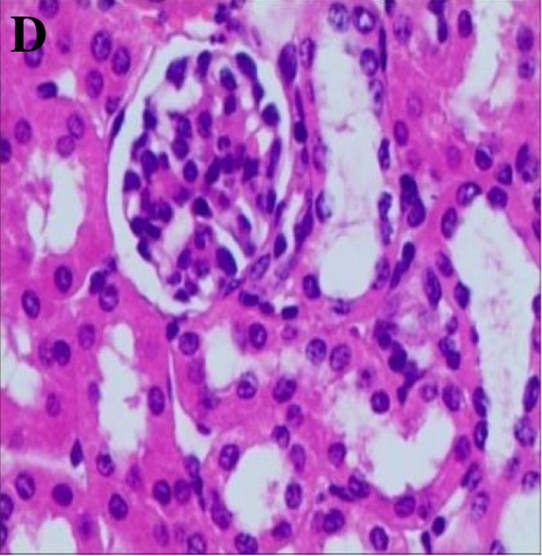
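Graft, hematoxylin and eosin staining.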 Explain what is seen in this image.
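Kidney tissue with a glomerulus at the upper left and tubules around it. The glomerular tuft is a rounded cluster of dark purple nuclei with pale spaces among them, lying inside a thin capsule with a narrow clear rim of space. The surrounding tubules are lined by cuboidal cells with bright pink cytoplasm and round, dark purple nuclei. Several tubules have wide, clear lumens holding wispy pale material. The tubules lie closely packed, with little space between them.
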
